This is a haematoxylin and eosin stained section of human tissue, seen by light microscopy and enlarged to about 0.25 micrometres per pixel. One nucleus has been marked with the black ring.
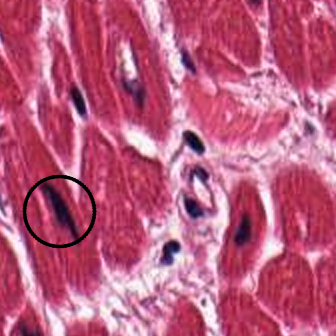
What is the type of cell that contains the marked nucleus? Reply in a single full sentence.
As shown, the marked nucleus belongs to a cardiomyocyte.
